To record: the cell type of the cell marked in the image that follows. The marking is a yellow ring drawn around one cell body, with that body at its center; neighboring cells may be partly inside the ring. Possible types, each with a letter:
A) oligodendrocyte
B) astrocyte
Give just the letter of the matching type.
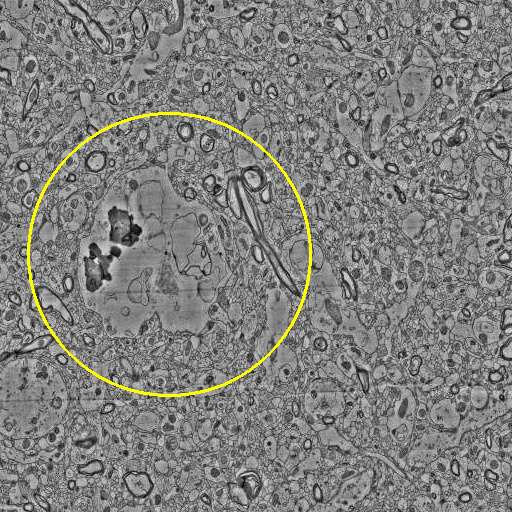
B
